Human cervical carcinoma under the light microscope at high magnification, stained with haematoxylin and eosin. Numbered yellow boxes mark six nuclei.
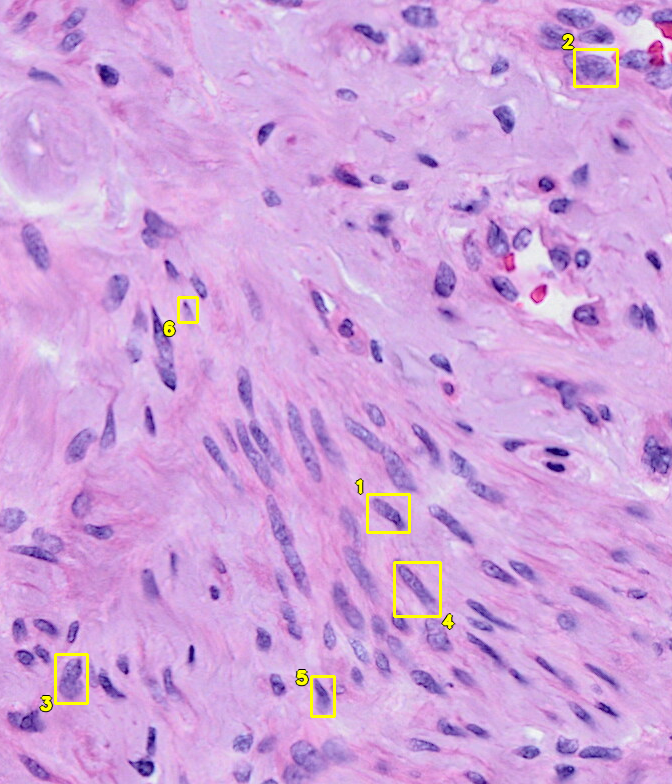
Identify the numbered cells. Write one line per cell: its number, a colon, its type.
1: smooth muscle cell
2: endothelial cell
3: fibroblast
4: smooth muscle cell
5: smooth muscle cell
6: smooth muscle cell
